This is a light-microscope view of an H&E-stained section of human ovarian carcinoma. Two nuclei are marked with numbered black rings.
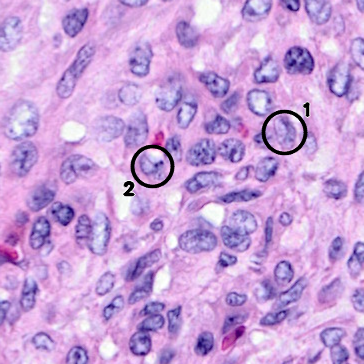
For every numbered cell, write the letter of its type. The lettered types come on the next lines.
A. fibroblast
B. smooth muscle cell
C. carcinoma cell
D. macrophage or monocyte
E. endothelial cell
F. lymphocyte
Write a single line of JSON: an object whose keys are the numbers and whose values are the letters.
{"1": "A", "2": "E"}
